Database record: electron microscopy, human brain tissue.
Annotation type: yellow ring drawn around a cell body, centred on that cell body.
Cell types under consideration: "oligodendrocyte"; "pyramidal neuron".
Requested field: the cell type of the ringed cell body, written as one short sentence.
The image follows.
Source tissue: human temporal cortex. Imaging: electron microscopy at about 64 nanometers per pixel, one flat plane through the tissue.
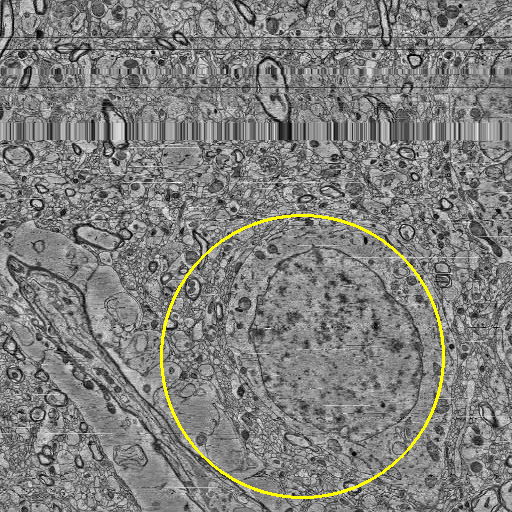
The ringed cell body represents a pyramidal neuron.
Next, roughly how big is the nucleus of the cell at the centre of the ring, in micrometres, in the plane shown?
In this plane the nucleus measures roughly 13 by 10 micrometers.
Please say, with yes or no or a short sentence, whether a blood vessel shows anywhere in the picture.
Yes, one is visible.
